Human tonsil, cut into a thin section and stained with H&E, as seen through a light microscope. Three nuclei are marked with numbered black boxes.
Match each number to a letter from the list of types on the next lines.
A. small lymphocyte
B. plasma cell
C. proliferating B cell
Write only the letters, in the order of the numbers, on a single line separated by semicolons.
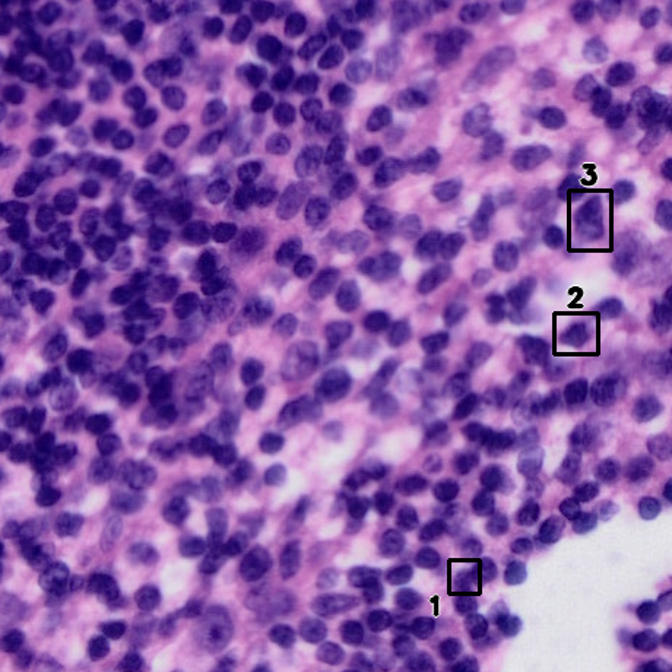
A; C; C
